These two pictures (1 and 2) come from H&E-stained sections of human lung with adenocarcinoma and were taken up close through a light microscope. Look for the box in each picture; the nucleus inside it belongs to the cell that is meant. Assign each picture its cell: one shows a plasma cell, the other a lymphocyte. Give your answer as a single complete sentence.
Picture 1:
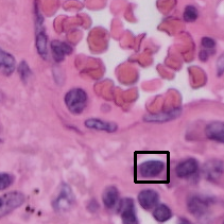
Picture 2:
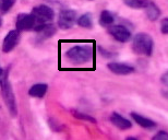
Picture 2 shows a lymphocyte, while picture 1 shows a plasma cell.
